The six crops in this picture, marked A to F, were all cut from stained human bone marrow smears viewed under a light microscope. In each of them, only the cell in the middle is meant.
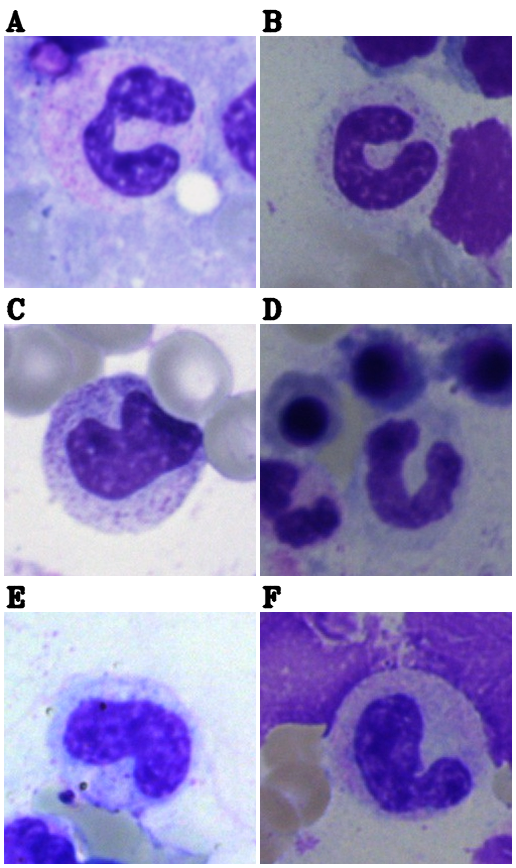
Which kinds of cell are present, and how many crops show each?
band neutrophil: 4
segmented neutrophil: 2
